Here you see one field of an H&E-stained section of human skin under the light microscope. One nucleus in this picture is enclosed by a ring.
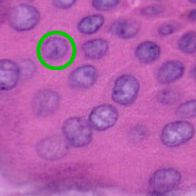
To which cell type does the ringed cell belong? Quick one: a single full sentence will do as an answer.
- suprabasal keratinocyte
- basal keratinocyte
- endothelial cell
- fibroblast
In terms of identity, the ringed cell is a suprabasal keratinocyte.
